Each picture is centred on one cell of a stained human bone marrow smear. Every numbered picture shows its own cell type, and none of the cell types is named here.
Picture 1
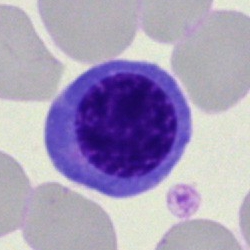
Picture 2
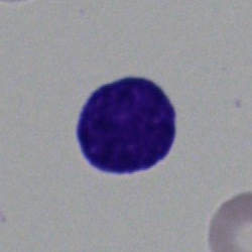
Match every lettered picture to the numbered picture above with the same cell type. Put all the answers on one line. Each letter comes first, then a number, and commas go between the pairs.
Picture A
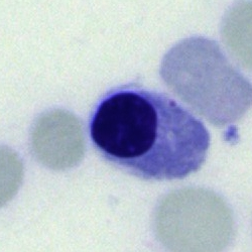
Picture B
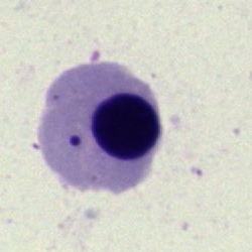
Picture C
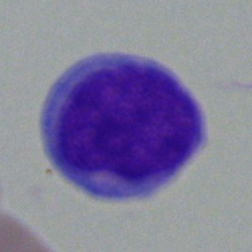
A 1, B 1, C 2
